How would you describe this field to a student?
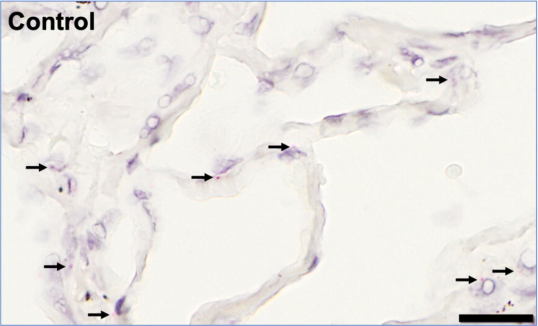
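Thin walls made of one or two layers of flattened cells separate wide, empty spaces, and the cells have small, dark purple nuclei. Here and there a rounder cell with pale, clear cytoplasm sits in the wall, often where walls meet. Arrows point to tiny dark dots within cells of the walls. This is lung tissue with delicate alveolar walls around open air spaces.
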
